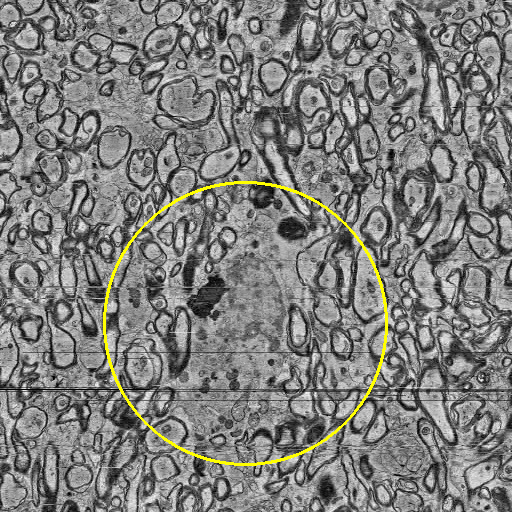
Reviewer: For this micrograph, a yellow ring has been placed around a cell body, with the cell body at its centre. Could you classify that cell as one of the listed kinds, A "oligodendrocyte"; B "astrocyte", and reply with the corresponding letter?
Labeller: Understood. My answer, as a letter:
A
